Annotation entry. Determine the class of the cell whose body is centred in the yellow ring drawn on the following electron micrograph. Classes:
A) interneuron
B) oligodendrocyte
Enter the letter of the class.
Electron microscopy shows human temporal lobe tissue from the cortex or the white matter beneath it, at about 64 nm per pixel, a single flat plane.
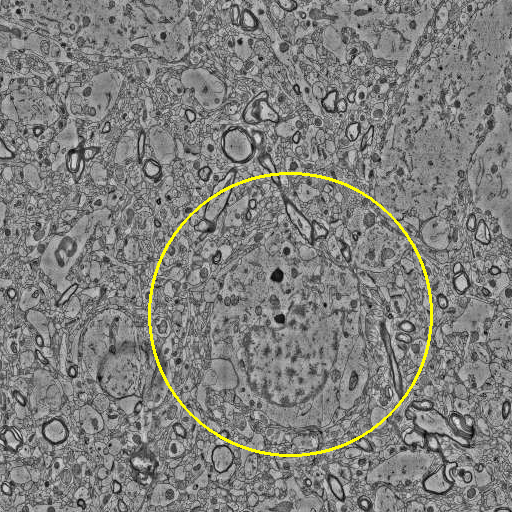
A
